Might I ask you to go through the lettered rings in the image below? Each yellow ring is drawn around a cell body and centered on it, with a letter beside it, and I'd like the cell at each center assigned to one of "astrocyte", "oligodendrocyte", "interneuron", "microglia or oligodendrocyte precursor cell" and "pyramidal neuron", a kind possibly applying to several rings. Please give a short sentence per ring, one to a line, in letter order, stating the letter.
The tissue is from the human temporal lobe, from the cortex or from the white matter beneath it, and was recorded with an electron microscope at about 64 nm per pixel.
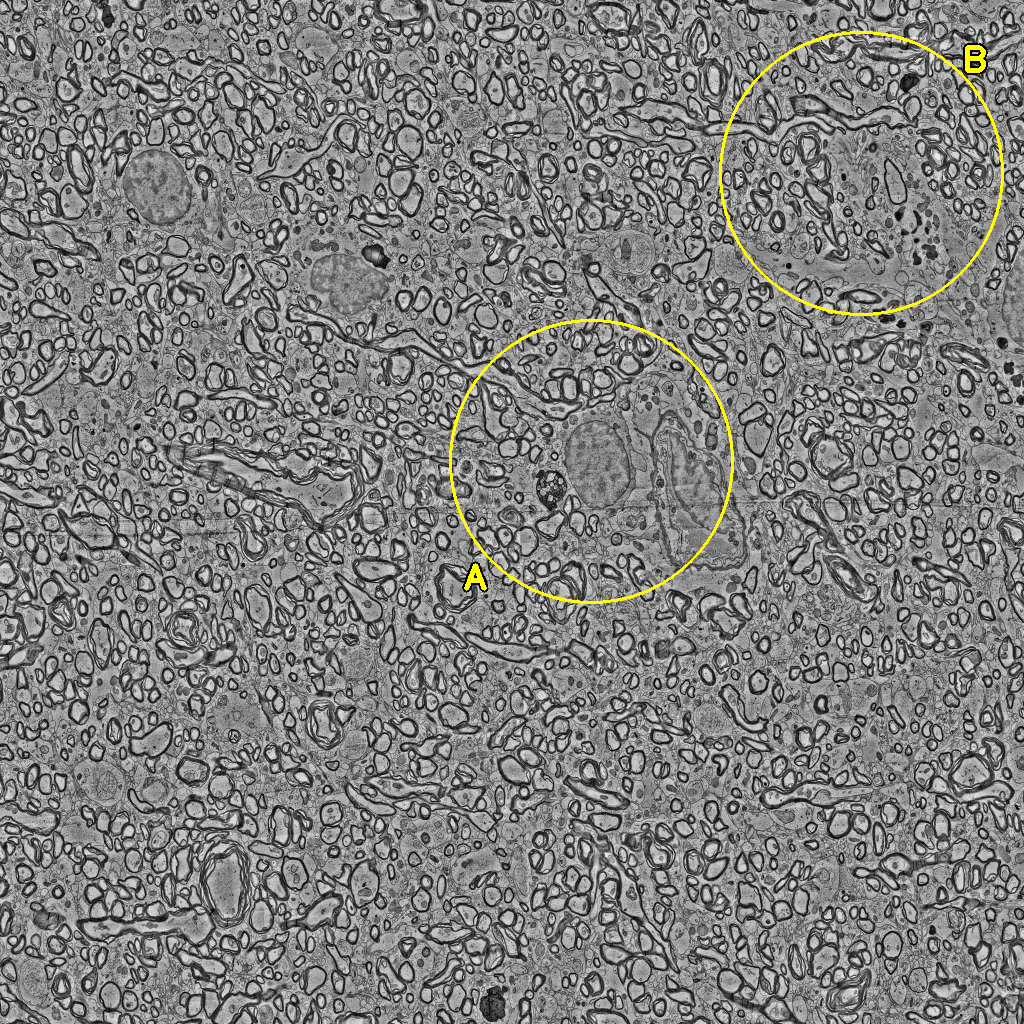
Ring A is centered on the body of an oligodendrocyte.
Ring B is centered on the body of an oligodendrocyte.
